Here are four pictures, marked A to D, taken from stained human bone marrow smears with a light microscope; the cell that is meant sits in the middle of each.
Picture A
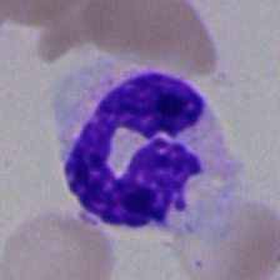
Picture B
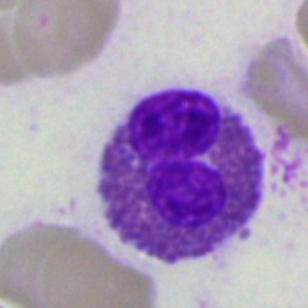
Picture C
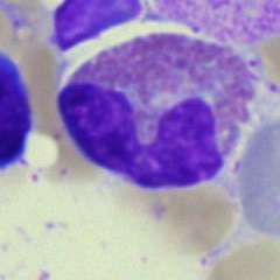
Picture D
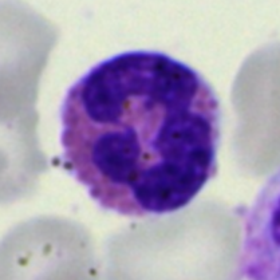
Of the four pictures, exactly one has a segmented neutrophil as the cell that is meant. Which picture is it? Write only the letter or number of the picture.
A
